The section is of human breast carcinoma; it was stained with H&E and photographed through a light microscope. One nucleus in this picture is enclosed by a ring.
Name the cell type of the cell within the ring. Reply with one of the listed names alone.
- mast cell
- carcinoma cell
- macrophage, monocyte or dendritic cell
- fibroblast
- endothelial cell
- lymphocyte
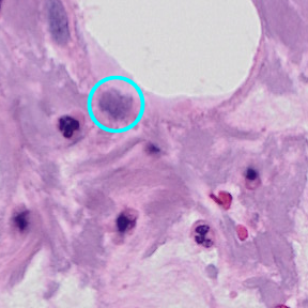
fibroblast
